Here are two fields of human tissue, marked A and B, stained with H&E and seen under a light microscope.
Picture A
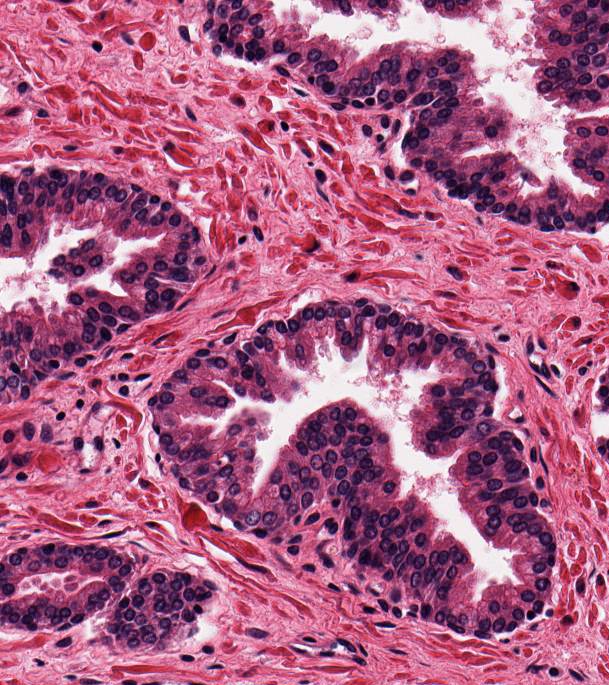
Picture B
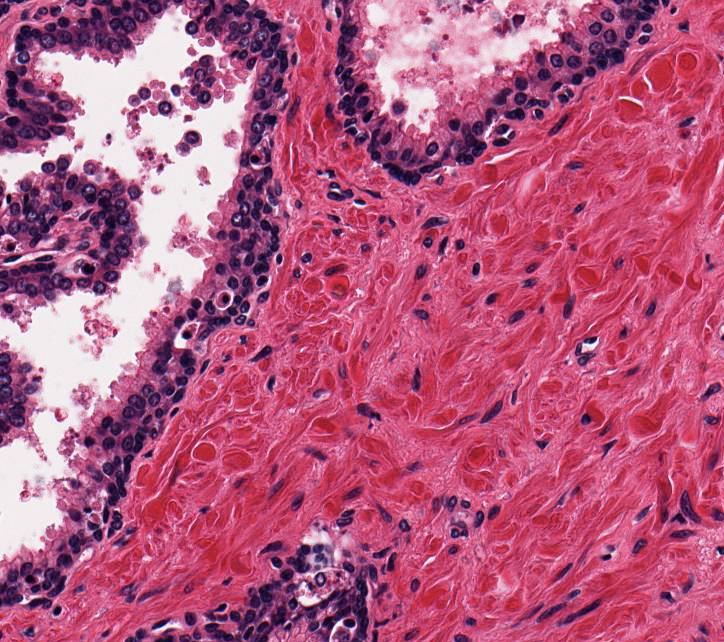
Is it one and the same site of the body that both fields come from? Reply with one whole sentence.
Yes, the two fields both come from the prostate.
